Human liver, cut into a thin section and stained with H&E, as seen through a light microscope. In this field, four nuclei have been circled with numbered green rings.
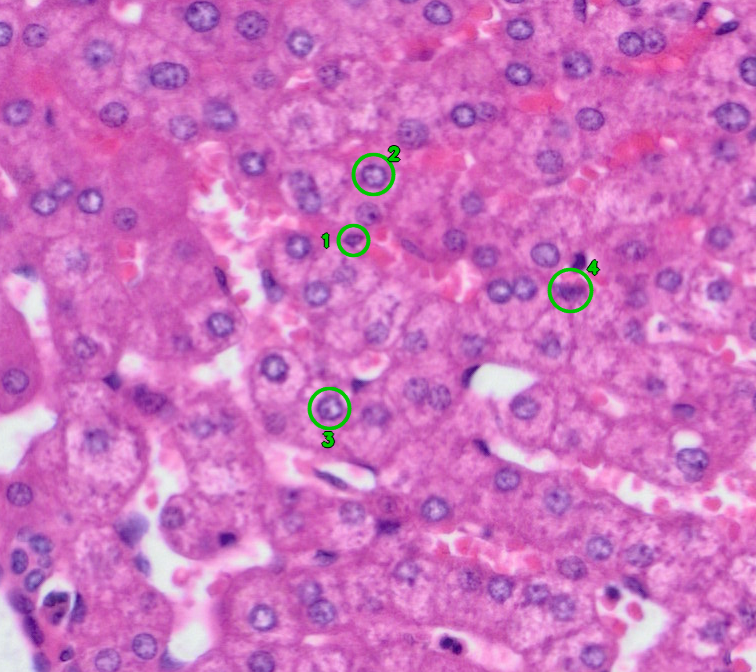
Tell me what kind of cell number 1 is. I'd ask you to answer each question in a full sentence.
Among the marked nuclei, number 1 belongs to a fibroblast or stellate cell.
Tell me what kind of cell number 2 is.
The cell that carries the label 2 is a hepatocyte.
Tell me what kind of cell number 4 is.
The cell assigned the number 4 is an endothelial cell.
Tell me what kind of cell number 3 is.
The cell identified by number 3 is a hepatocyte.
